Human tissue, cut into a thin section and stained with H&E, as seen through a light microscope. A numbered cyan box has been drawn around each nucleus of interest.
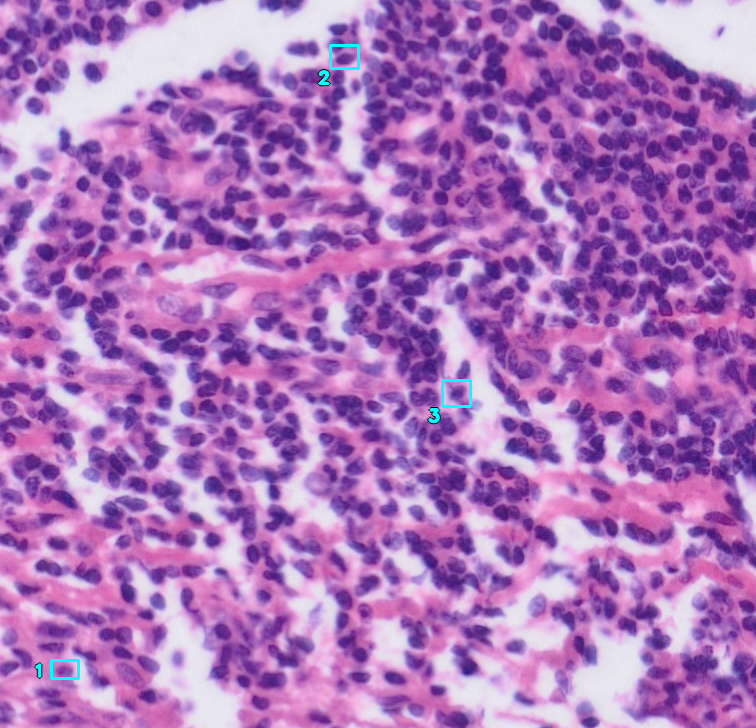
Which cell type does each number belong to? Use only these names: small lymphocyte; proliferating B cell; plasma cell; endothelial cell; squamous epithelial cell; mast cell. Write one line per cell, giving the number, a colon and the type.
1: endothelial cell
2: small lymphocyte
3: small lymphocyte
